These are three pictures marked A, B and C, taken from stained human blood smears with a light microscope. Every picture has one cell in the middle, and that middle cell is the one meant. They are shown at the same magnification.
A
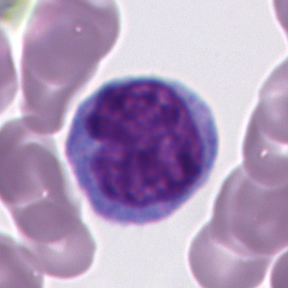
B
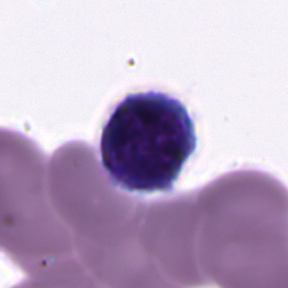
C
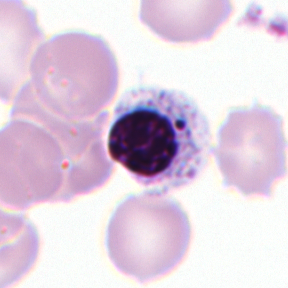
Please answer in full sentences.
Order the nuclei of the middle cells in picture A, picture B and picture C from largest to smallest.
Going down, they run A, B, C.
